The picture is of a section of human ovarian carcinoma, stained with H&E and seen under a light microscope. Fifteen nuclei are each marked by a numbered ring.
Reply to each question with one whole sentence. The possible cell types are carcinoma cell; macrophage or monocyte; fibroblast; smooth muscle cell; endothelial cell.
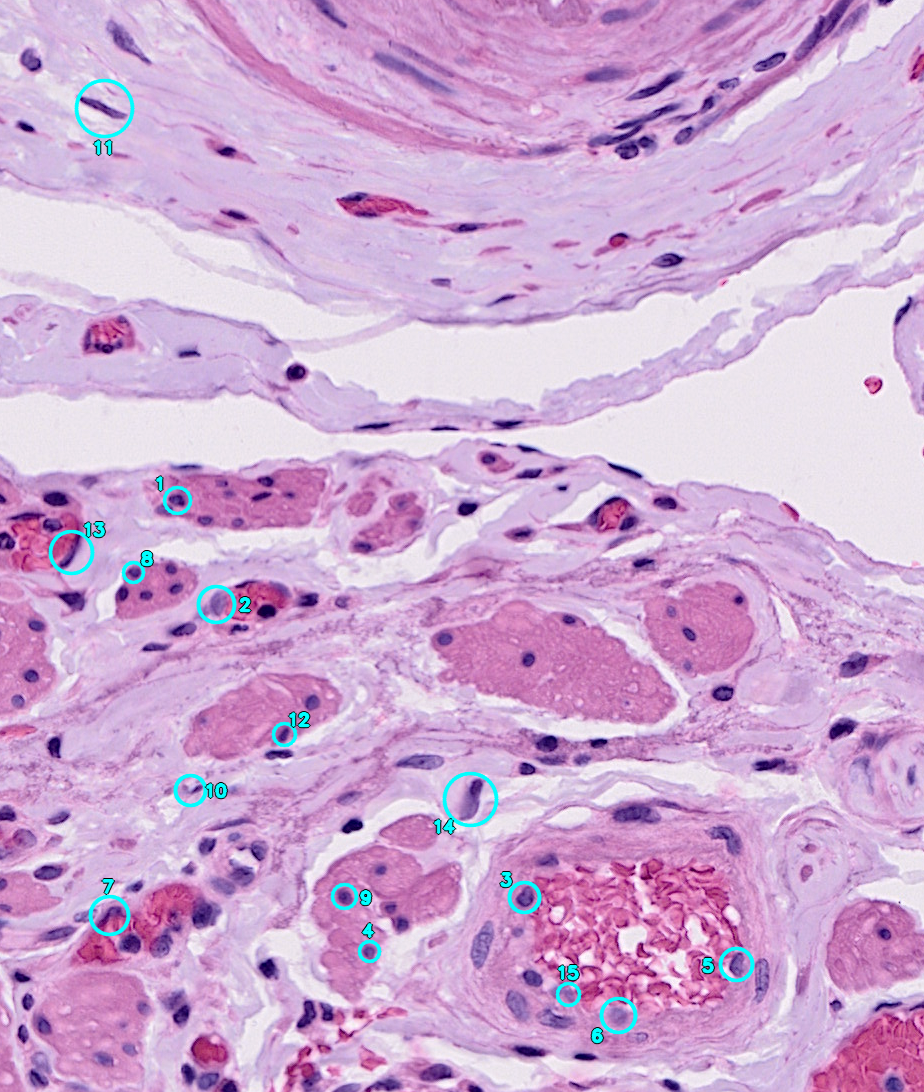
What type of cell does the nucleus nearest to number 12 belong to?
Closest to number 12 lies the nucleus of a macrophage or monocyte.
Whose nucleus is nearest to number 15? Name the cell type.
It is an endothelial cell whose nucleus is nearest to number 15.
